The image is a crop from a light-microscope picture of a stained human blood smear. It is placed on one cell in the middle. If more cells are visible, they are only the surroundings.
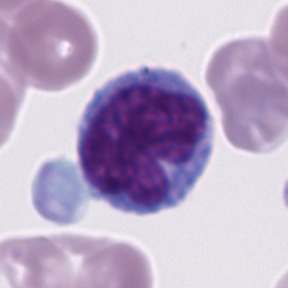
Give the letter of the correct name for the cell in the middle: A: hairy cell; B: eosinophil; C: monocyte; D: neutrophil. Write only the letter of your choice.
C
